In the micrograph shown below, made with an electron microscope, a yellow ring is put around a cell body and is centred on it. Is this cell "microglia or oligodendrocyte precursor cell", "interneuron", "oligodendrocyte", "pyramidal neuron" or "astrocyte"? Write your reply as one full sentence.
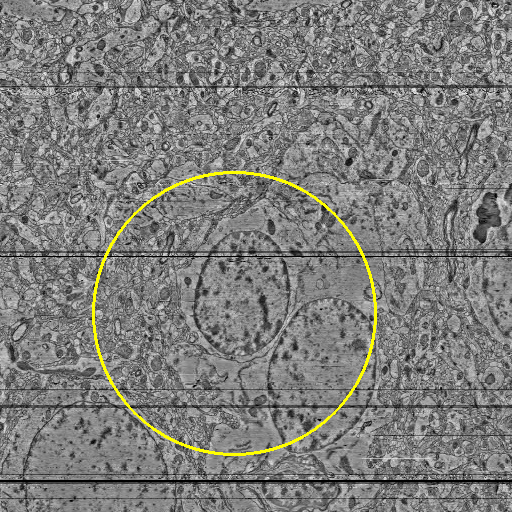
In the micrograph, an astrocyte is the cell at the centre of the yellow ring.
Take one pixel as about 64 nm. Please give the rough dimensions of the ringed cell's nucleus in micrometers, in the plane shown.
The nucleus appears roughly 8 by 6 micrometres in this plane.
